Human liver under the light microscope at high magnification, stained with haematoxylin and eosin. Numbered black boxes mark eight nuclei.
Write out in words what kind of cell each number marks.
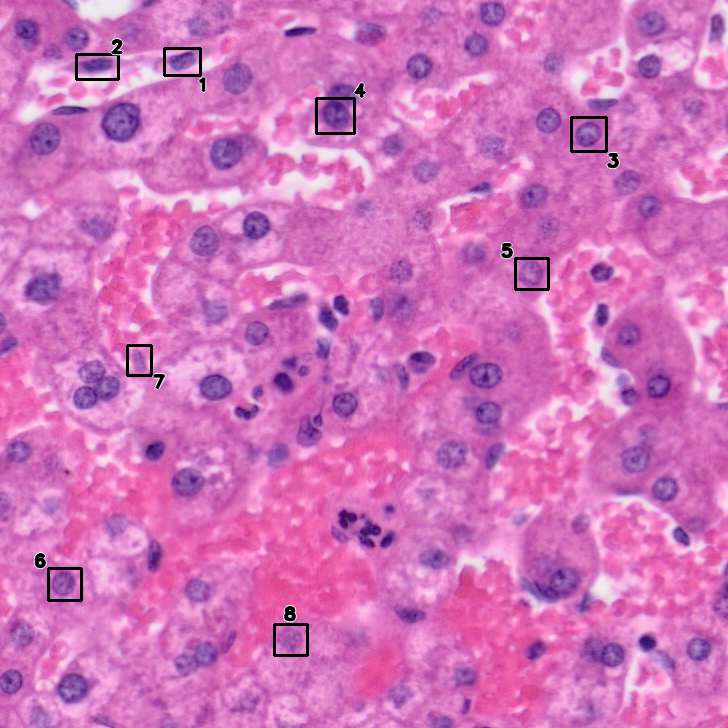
Cell 1 is a Kupffer cell, cell 2 is a Kupffer cell, cell 3 is a hepatocyte, cell 4 is a hepatocyte, cell 5 is a hepatocyte, cell 6 is a hepatocyte, cell 7 is a Kupffer cell and cell 8 is a hepatocyte.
